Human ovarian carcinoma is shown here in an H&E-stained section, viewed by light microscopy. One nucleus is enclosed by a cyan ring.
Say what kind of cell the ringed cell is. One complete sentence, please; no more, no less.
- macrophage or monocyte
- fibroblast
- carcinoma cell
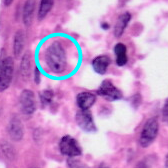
In the stained section, the ringed cell is a macrophage or monocyte.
